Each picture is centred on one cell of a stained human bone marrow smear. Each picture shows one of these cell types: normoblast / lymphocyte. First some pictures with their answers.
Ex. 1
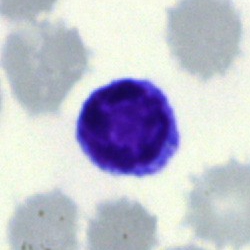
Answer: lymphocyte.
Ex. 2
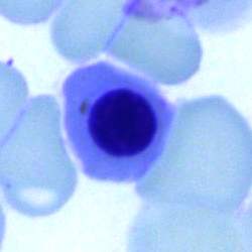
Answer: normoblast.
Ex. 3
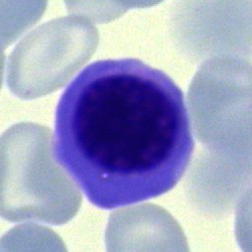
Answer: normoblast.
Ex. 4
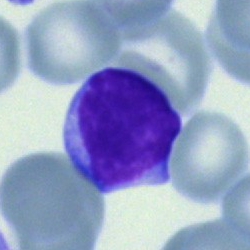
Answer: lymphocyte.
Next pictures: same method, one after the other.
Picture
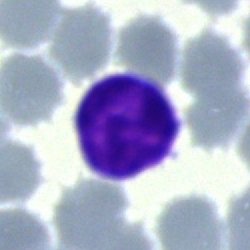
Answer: lymphocyte.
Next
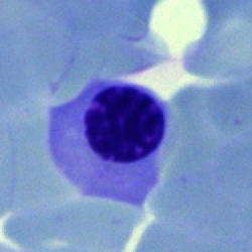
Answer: normoblast.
